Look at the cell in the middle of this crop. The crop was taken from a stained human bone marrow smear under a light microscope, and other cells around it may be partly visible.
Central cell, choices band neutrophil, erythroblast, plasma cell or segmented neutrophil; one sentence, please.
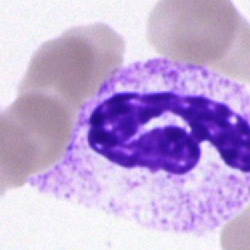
Located at the centre of the crop is a segmented neutrophil.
